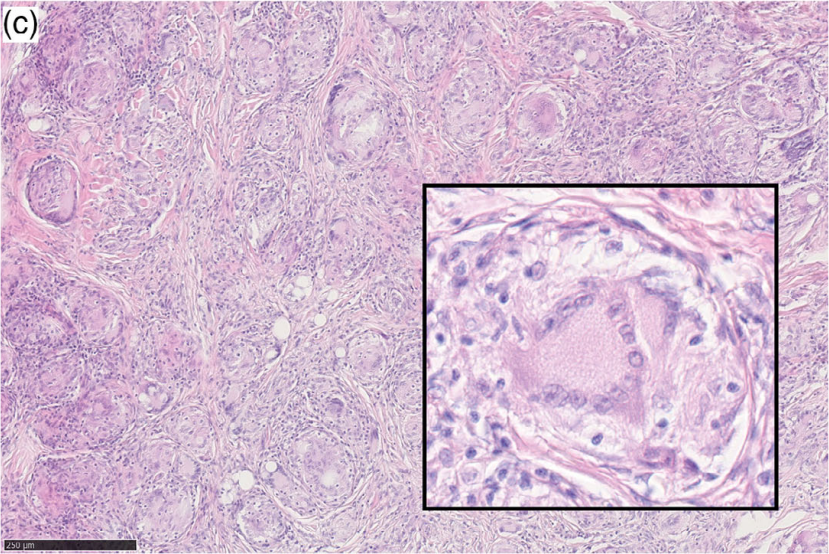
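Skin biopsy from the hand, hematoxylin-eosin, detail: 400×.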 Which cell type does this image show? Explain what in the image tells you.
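Rounded nests of cells with pale pink cytoplasm and oval nuclei. The nests are separated by bands of fibrous tissue and small dark lymphocytes. So: epithelioid macrophages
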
